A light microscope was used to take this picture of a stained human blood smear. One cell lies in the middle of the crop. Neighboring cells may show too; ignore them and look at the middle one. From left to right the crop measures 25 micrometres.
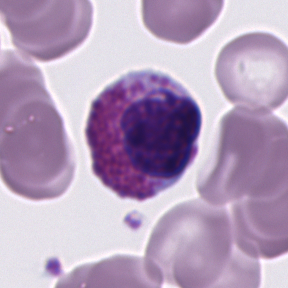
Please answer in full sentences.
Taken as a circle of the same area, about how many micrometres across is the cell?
The cell is about 11 micrometres across.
